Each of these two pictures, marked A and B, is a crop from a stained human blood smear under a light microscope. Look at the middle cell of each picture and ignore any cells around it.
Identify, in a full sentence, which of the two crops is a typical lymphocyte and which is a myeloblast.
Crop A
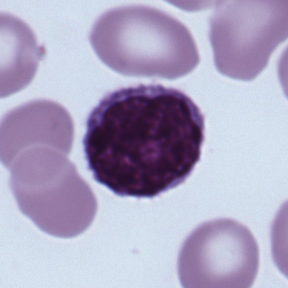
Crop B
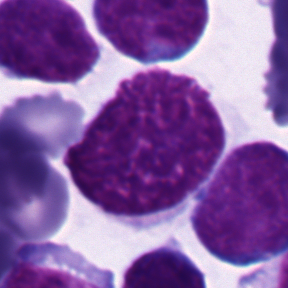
The cell in crop A is a typical lymphocyte, whereas the cell in crop B is a myeloblast.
